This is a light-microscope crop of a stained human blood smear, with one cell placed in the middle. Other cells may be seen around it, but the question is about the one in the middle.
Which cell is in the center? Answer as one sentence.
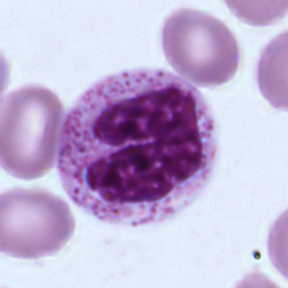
The central element of this crop is a cell, namely a band neutrophil.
